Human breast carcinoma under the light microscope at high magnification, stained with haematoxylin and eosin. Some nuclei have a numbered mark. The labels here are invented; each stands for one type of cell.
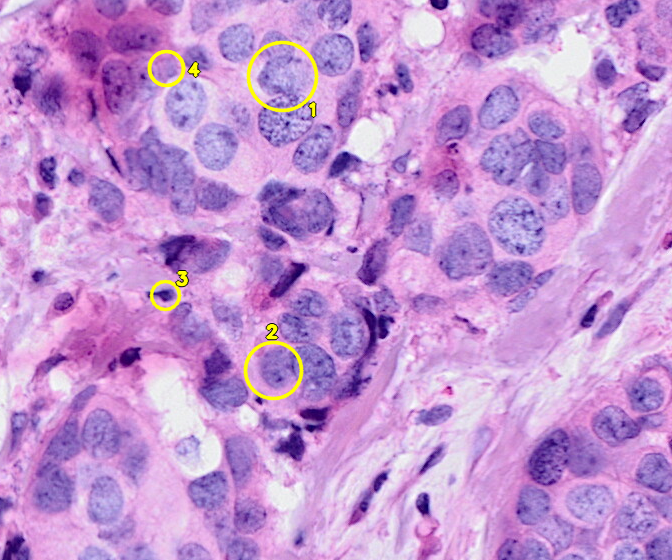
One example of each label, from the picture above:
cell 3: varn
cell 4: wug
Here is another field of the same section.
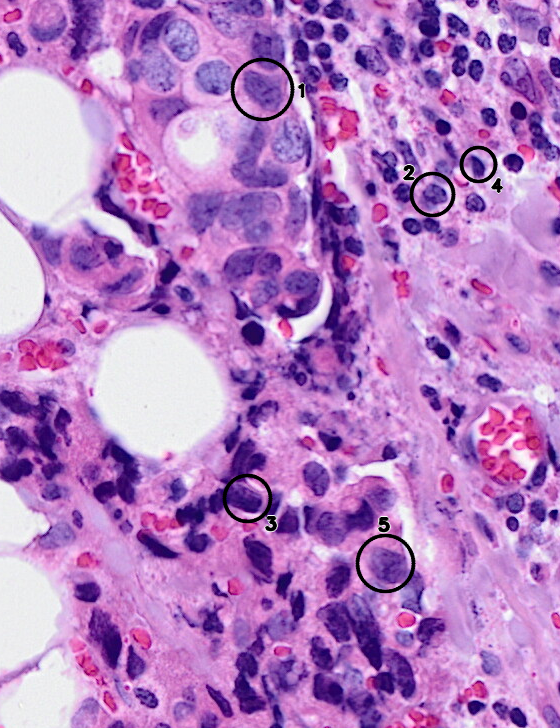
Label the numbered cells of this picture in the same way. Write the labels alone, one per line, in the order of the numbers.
wug
varn
wug
varn
wug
